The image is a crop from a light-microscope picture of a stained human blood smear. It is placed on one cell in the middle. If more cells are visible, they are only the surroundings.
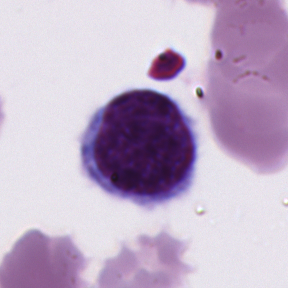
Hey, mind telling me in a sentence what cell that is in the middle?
This crop's central cell is a hairy cell.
